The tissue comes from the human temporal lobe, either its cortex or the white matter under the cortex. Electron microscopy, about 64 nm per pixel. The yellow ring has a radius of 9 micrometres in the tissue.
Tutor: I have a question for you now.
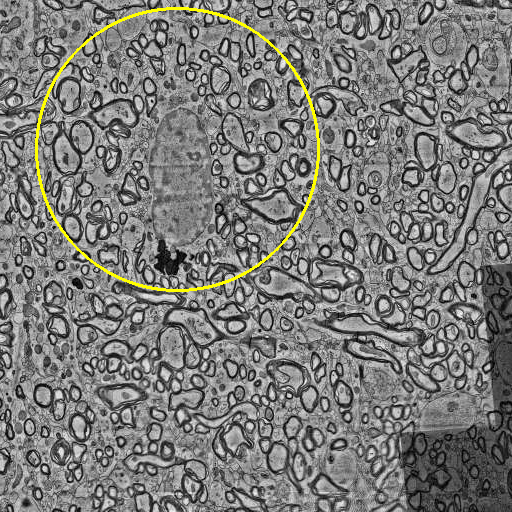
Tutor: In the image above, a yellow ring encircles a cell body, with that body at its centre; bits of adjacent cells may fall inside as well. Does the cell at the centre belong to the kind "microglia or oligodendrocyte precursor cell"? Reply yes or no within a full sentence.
No, the centred cell inside the ring belongs to another kind.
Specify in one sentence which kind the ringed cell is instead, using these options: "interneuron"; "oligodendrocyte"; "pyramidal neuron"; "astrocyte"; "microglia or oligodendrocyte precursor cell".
The cell at the ring centre is an oligodendrocyte.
